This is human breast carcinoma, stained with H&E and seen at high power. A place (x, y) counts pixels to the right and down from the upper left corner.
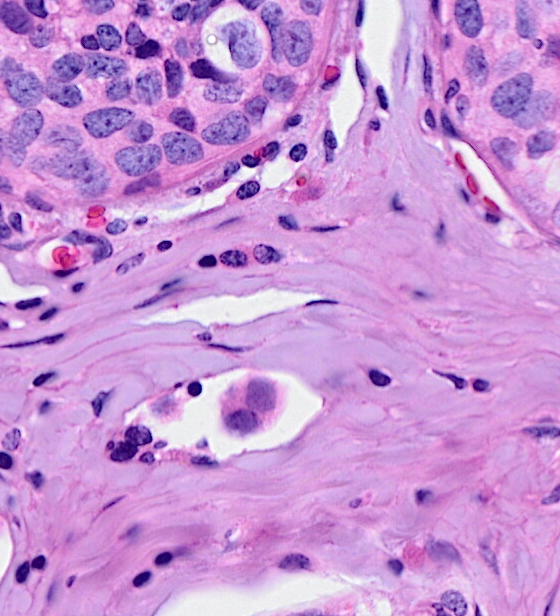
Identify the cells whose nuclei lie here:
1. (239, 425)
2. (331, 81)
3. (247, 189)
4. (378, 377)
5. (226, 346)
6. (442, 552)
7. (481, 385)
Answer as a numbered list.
1. carcinoma cell
2. endothelial cell
3. mast cell
4. lymphocyte
5. fibroblast
6. fibroblast
7. mast cell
